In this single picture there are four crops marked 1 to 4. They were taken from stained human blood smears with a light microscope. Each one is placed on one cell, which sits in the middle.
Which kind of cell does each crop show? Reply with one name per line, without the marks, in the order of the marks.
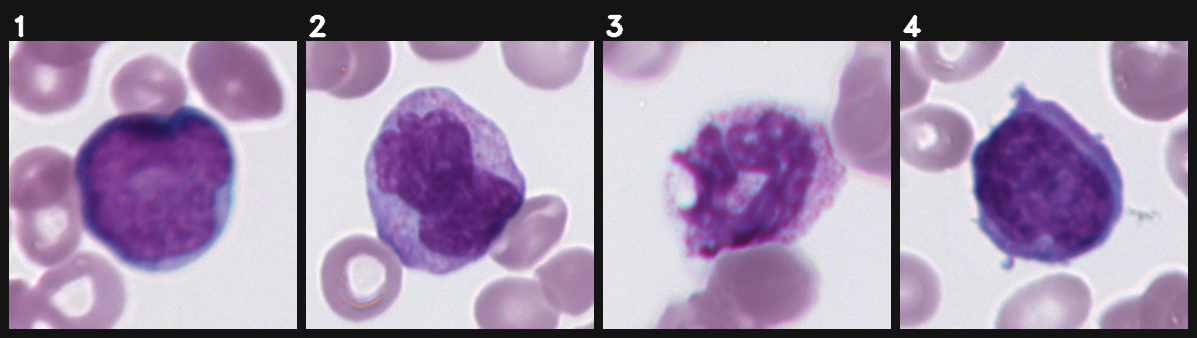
myeloblast
atypical promyelocyte
segmented neutrophil
atypical promyelocyte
